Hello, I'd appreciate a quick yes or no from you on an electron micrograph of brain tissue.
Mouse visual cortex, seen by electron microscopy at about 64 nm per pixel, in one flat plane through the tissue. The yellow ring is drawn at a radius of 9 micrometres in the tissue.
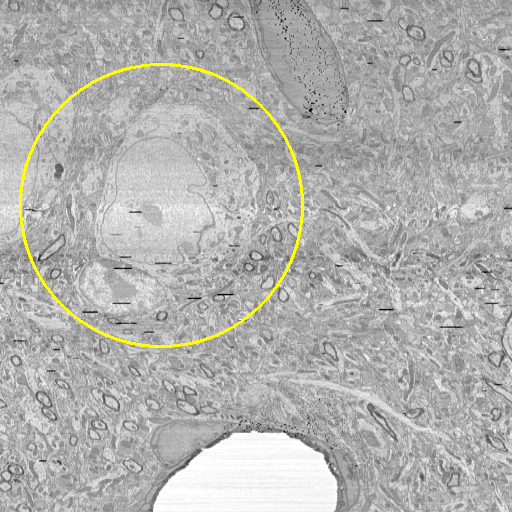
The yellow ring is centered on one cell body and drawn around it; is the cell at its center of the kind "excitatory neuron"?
yes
